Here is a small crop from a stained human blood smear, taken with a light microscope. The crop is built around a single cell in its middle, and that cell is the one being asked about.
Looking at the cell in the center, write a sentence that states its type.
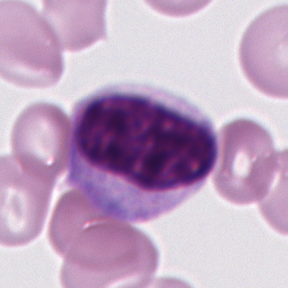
Whatever else lies nearby, the middle cell is a metamyelocyte.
